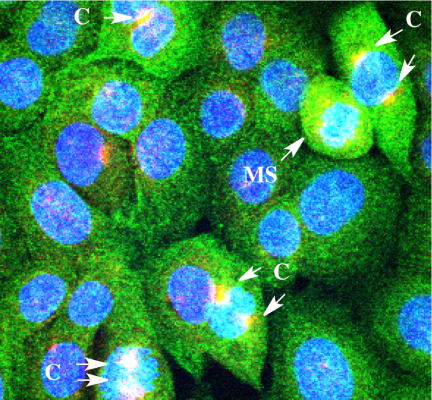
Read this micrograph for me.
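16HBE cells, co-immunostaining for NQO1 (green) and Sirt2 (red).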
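A layer of cultured epithelial cells with large oval blue nuclei and green cytoplasm of varying brightness. In several cells, small bright yellow-orange foci, single or paired, sit at the edge of the nucleus, marking centrosomes. In the lower part, two cells show intense yellow foci close to their nuclei, and some nuclei show scattered small red dots.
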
